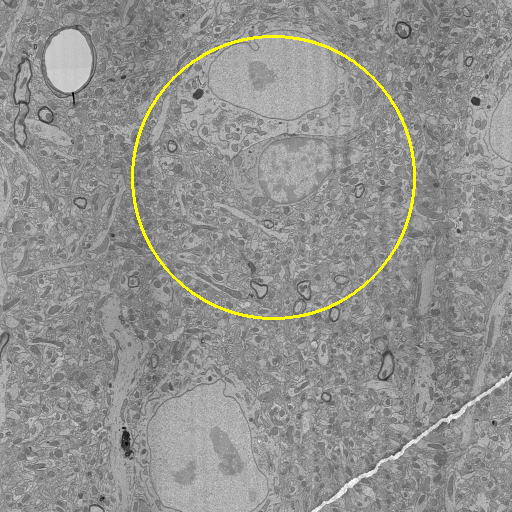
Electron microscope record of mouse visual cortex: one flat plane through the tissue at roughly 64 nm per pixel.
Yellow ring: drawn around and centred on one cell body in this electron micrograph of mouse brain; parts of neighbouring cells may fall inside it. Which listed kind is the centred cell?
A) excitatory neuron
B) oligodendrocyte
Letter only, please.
B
